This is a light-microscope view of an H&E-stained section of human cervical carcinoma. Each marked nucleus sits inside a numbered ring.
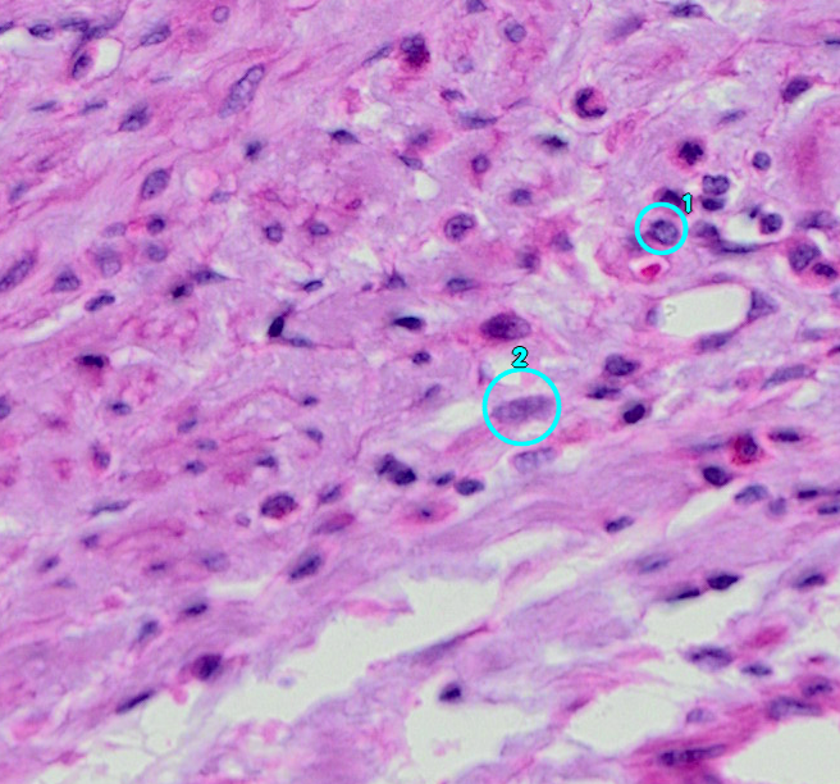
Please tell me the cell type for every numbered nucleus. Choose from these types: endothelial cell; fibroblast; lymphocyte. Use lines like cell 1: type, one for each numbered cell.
cell 1: lymphocyte
cell 2: fibroblast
